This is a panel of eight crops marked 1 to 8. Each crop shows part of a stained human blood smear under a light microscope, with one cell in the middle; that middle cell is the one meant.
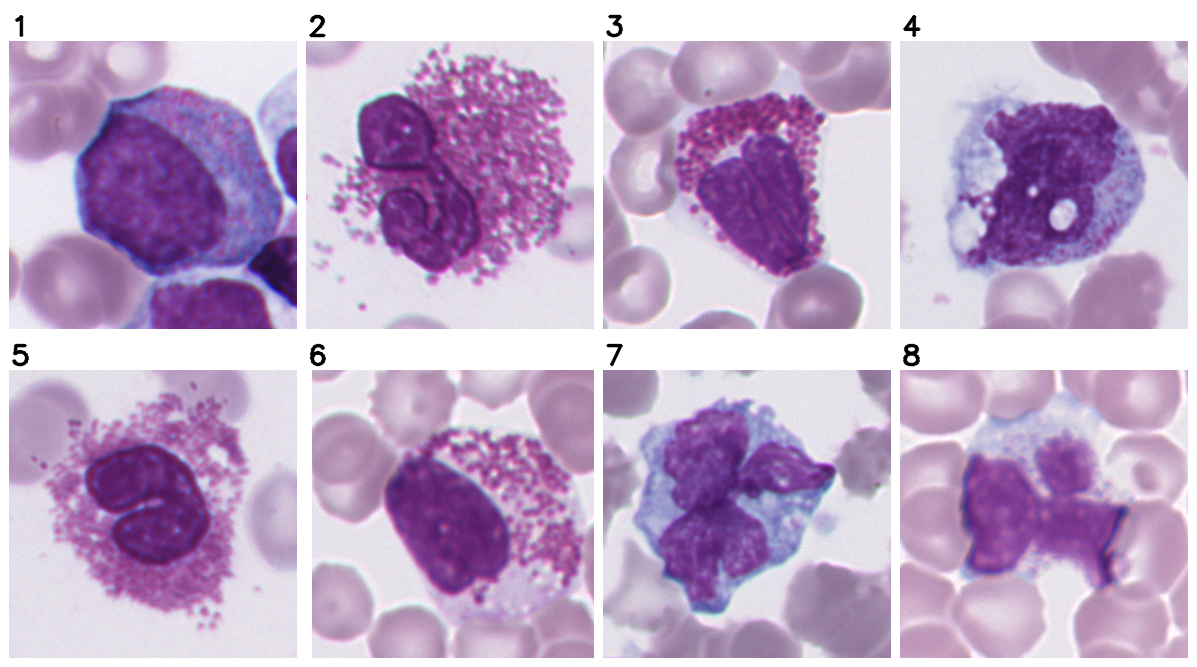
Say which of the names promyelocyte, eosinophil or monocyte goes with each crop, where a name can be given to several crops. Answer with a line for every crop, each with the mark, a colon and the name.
1: promyelocyte
2: eosinophil
3: eosinophil
4: monocyte
5: eosinophil
6: eosinophil
7: monocyte
8: monocyte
